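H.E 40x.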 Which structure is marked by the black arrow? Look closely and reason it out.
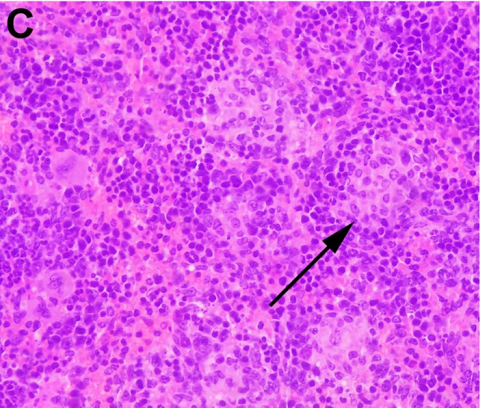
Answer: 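Near the arrow tip is a pale rounded cluster of larger cells with pink cytoplasm. Similar pale foci appear elsewhere among densely packed small dark cells. The answer: Microgranulomas.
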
